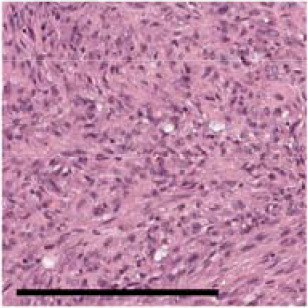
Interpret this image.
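This is a tumor composed of densely packed elongated, spindle-shaped cells arranged in interlacing streams and fascicles. The nuclei are oval to elongated and purple, lying in pale pink cytoplasm with indistinct cell borders. The cells run in different directions in adjacent bundles, giving a swirling pattern, and a few small clear spaces are scattered through the sheet.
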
